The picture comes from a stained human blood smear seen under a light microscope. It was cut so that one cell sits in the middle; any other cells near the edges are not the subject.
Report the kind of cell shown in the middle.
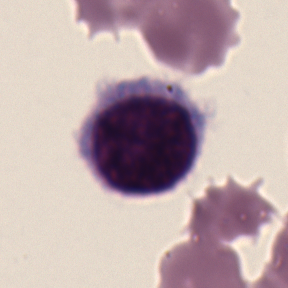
hairy cell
